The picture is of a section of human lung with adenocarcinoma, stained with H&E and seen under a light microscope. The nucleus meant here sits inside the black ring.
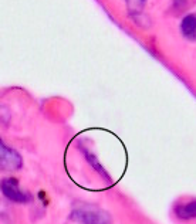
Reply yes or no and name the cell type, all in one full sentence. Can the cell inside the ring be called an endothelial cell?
Yes, the cell inside the ring is recognized as an endothelial cell in this section.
